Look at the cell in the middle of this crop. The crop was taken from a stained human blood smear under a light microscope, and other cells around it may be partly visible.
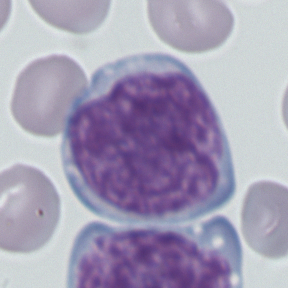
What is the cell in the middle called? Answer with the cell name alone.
myeloblast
